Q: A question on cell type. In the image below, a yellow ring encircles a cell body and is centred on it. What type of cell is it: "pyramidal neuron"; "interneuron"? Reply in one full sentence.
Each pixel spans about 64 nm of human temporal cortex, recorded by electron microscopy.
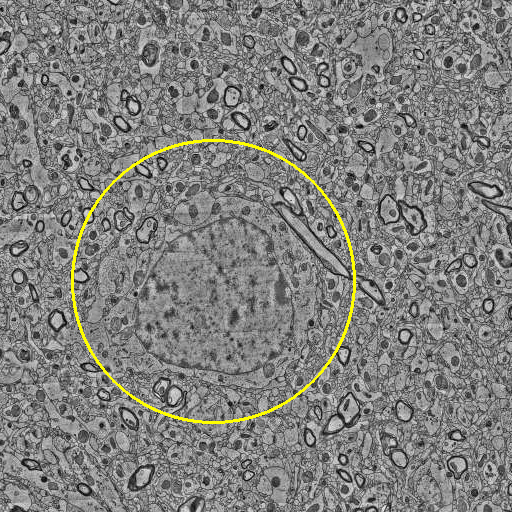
It is an interneuron whose cell body sits at the centre of the yellow ring in the image.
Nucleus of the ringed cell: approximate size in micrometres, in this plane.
In this plane the nucleus is about 10 micrometres across.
